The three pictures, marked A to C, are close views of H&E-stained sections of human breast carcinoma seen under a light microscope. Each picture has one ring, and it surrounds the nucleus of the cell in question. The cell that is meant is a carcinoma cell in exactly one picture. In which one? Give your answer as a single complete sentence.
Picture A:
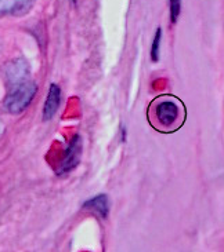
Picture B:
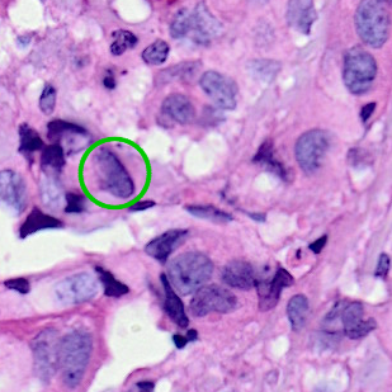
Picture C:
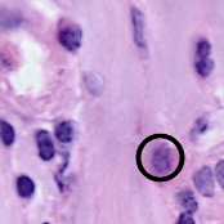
It is picture B that shows the carcinoma cell.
